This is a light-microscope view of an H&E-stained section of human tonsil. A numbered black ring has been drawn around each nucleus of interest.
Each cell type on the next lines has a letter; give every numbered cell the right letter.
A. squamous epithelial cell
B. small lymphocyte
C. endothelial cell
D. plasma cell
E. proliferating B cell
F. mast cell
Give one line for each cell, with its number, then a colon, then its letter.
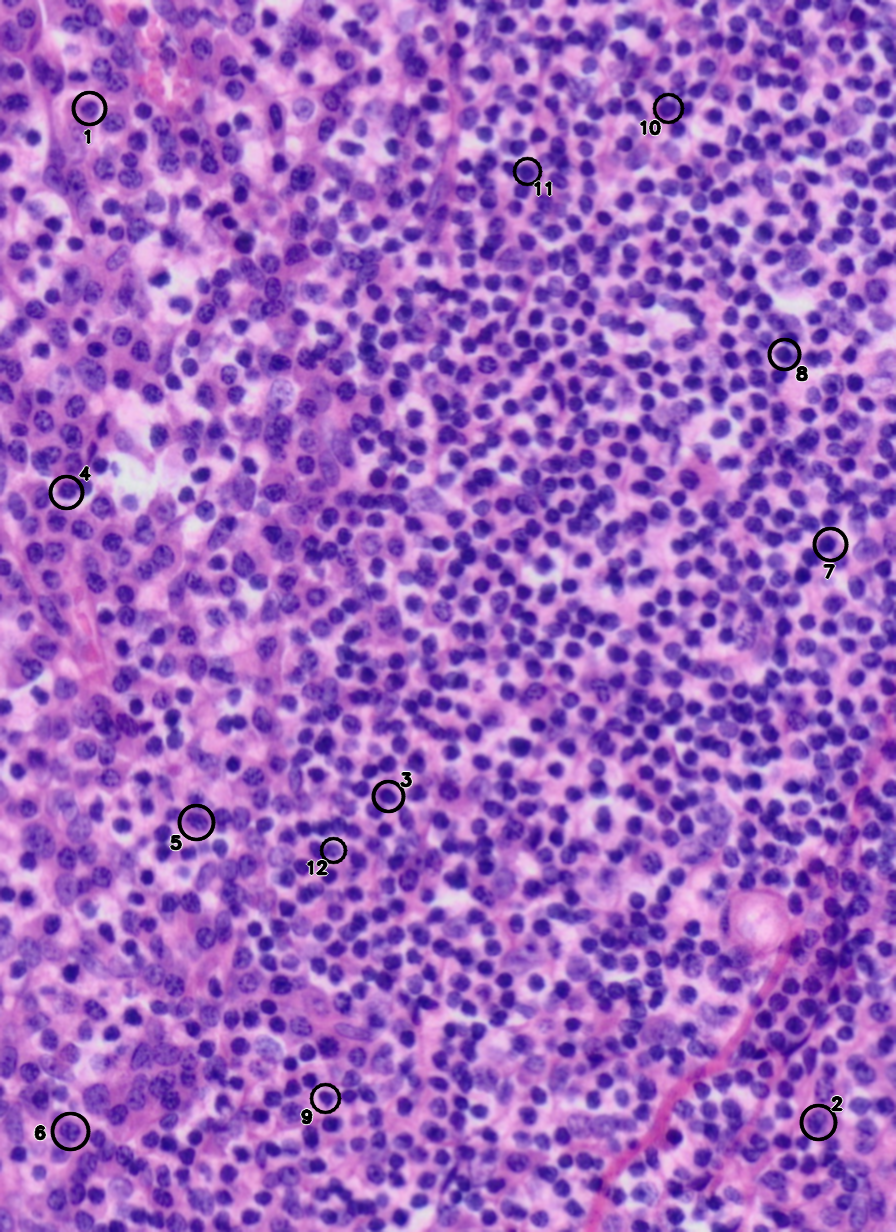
1: D
2: D
3: B
4: D
5: D
6: D
7: B
8: B
9: B
10: B
11: B
12: B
